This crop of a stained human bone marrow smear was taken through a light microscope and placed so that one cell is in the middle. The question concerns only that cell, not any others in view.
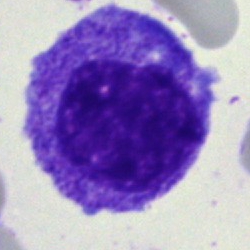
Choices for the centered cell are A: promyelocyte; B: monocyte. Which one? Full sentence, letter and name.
The cell at the centre is a promyelocyte, and option A accordingly is correct.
